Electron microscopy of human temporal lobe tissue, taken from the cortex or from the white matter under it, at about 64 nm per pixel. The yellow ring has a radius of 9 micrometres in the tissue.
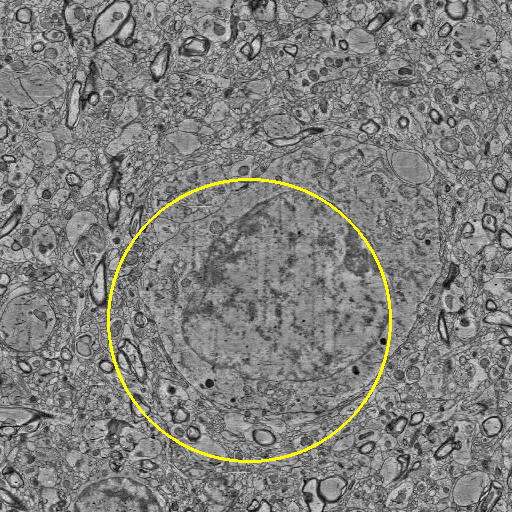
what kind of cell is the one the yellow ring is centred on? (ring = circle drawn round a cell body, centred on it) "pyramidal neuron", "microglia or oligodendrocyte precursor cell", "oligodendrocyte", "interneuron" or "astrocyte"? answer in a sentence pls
The ring is drawn around an interneuron.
